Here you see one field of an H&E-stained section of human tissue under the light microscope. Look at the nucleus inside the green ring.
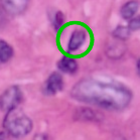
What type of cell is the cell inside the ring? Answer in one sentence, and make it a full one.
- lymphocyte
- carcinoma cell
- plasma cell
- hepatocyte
Recorded by type, the cell inside the ring is a lymphocyte.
